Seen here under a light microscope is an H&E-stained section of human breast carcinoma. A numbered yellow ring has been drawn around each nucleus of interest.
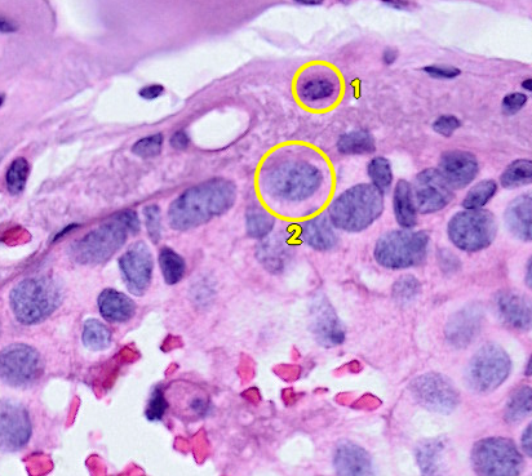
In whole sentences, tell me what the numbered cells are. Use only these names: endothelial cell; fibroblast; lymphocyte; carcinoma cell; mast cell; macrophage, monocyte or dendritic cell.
Cell 1 is a mast cell and cell 2 is a carcinoma cell.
